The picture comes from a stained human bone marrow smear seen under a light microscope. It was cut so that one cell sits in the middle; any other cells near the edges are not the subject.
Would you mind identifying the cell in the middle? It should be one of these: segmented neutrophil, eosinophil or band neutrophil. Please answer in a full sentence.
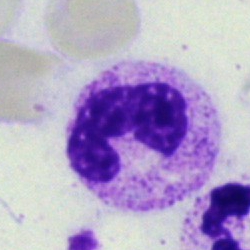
What sits at the centre of this crop is a segmented neutrophil.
